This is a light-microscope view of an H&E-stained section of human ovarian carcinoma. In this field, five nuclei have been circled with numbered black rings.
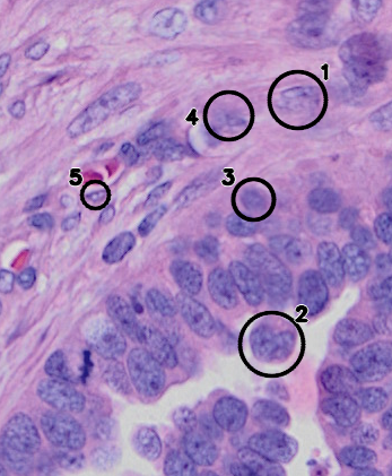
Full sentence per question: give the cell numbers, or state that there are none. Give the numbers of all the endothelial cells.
Nothing but cell 5 is an endothelial cell among the numbered ones.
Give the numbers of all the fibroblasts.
Identified as fibroblasts are the cells numbered 1 and 4.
